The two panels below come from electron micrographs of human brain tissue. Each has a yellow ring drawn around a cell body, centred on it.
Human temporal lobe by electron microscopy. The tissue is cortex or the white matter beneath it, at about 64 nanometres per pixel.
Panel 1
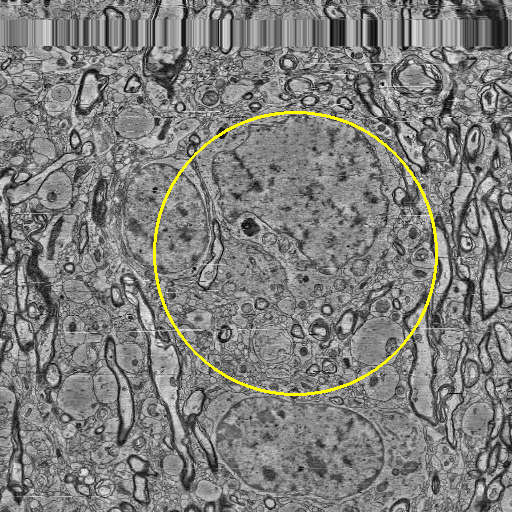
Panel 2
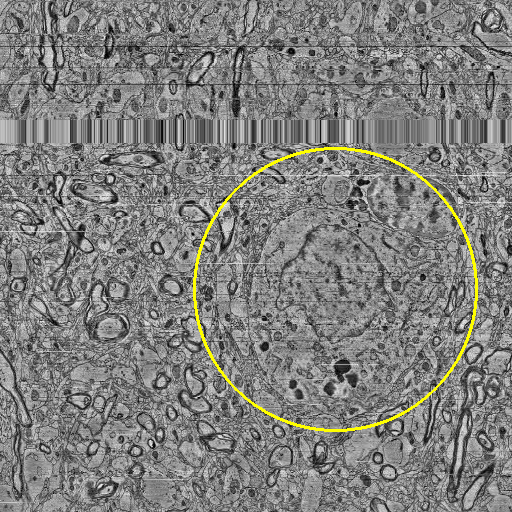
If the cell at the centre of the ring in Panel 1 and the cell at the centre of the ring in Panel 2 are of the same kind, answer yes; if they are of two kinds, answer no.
yes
